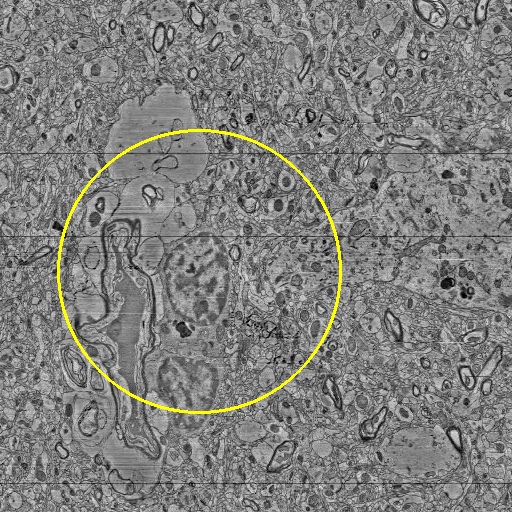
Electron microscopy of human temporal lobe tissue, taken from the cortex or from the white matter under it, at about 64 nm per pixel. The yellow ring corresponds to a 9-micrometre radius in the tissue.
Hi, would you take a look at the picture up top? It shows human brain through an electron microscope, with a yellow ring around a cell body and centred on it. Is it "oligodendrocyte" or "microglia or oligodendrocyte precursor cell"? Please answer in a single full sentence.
The best fit for the cell in the middle of the ring is an oligodendrocyte, I reckon.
